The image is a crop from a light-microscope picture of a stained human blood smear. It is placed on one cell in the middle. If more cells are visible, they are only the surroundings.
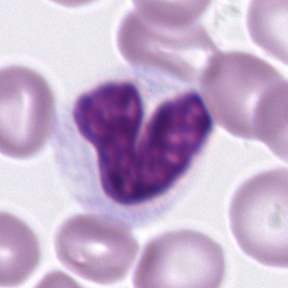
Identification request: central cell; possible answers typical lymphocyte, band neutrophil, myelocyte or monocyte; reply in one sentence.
The single cell at the center of the crop is a band neutrophil.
